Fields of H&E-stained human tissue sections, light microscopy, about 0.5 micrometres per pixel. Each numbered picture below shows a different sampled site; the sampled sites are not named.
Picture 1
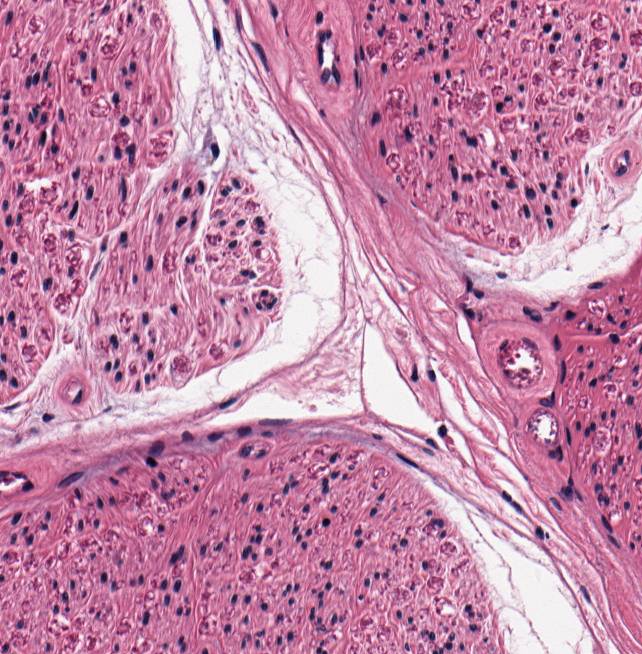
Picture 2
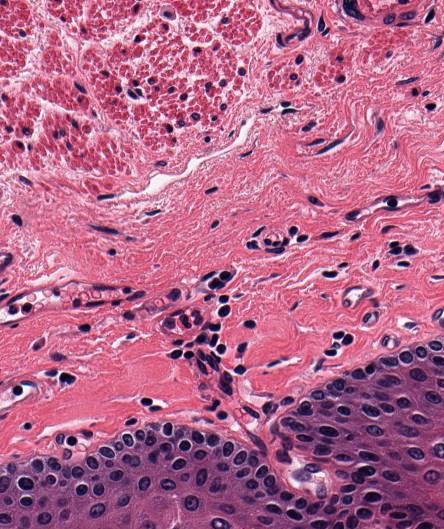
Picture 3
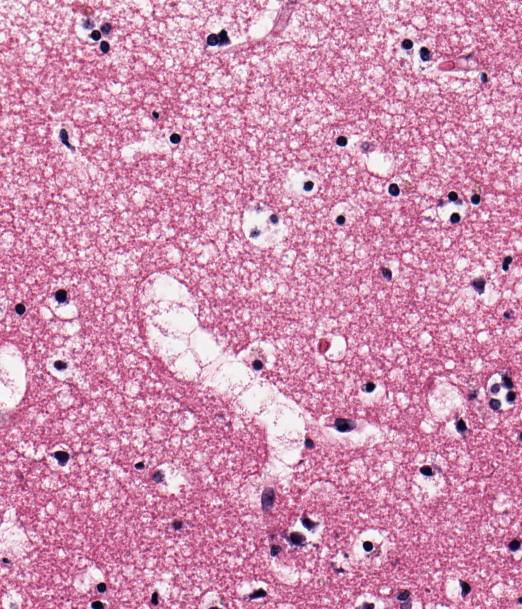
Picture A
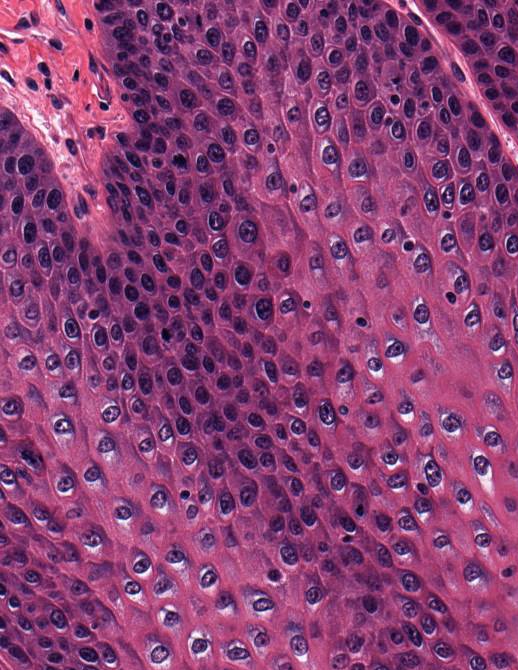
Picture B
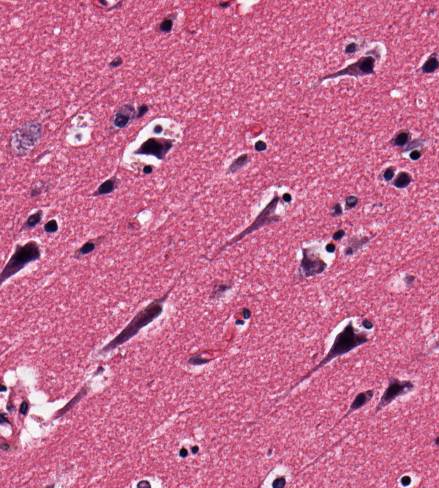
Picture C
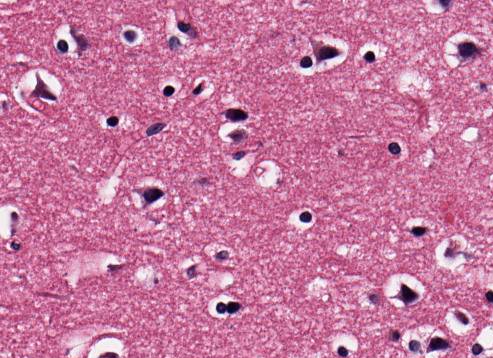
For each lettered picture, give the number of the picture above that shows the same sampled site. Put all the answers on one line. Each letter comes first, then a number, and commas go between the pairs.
A 2, B 3, C 3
